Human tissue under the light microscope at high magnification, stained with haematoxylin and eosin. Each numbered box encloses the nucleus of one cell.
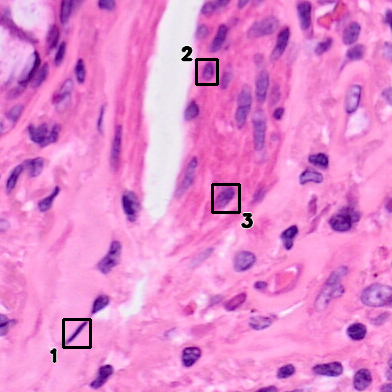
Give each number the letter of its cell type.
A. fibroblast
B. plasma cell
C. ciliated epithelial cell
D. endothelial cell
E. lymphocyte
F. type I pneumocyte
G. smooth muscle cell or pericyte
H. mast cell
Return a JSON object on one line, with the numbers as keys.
{"1": "A", "2": "G", "3": "G"}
